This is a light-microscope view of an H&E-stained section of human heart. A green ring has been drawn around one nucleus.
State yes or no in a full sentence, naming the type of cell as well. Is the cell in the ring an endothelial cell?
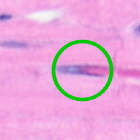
Yes, the statement that the cell in the ring is an endothelial cell is correct.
